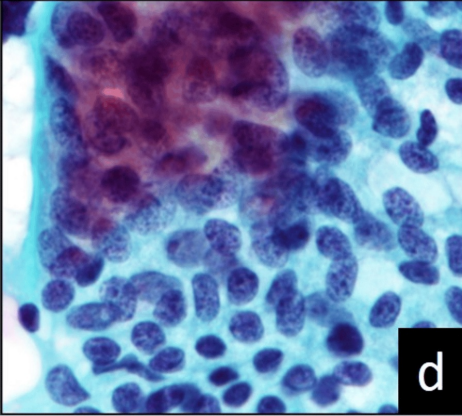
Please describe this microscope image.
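Many cells have larger, oval nuclei with pale, finely granular chromatin and small nucleoli. The cytoplasm is scant and poorly delimited, so the nuclei appear crowded in a syncytial-looking group. A rim of pale cyan material borders the cluster at the left edge.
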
